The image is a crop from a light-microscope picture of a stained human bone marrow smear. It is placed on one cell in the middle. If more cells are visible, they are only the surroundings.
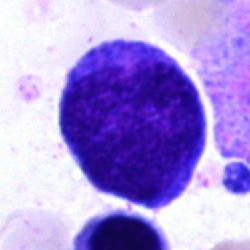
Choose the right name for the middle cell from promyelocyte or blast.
blast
